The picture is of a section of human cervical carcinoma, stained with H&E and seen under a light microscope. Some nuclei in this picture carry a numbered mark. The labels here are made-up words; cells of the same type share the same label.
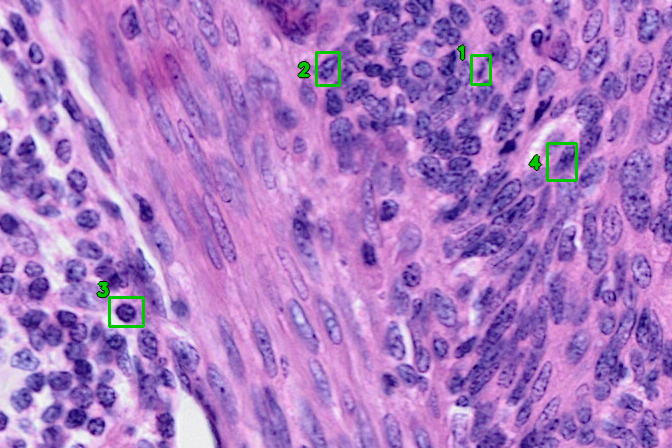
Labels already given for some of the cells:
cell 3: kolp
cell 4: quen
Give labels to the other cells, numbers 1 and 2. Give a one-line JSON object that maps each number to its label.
{"1": "quen", "2": "quen"}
